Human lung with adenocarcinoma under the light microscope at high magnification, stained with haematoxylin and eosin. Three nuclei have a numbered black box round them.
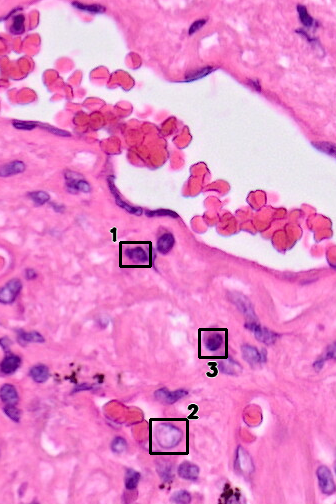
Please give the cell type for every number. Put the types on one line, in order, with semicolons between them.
plasma cell; endothelial cell; plasma cell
